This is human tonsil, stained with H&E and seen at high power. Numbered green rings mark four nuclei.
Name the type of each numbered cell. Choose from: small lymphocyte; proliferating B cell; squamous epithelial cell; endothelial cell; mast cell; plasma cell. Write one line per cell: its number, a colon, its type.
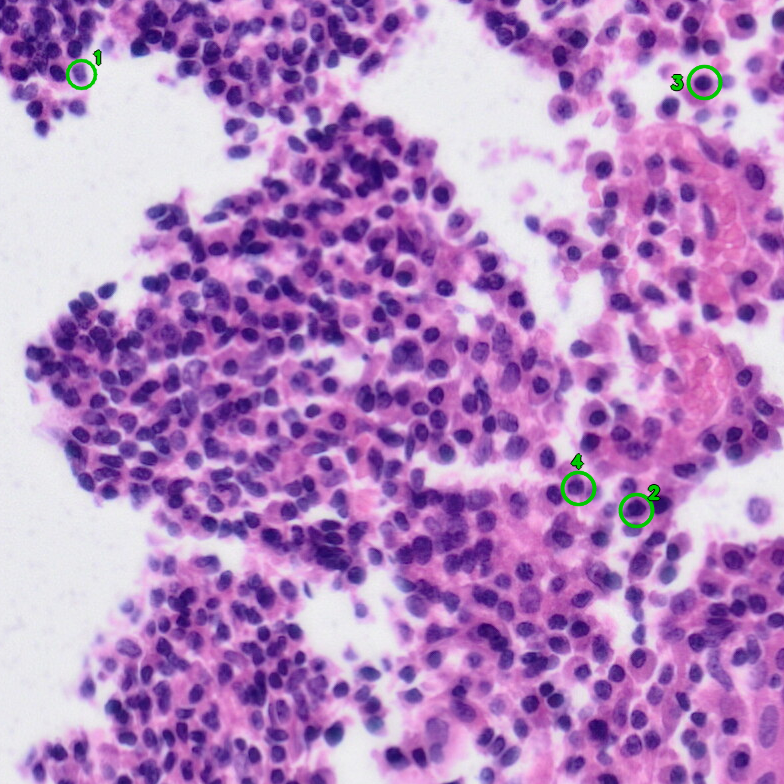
1: small lymphocyte
2: plasma cell
3: plasma cell
4: plasma cell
